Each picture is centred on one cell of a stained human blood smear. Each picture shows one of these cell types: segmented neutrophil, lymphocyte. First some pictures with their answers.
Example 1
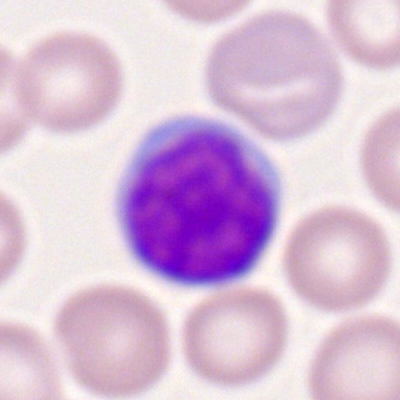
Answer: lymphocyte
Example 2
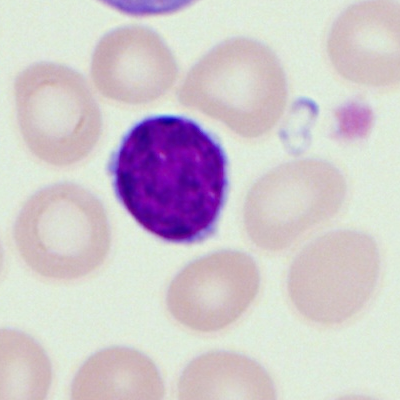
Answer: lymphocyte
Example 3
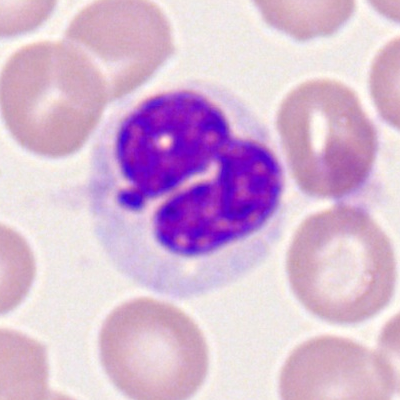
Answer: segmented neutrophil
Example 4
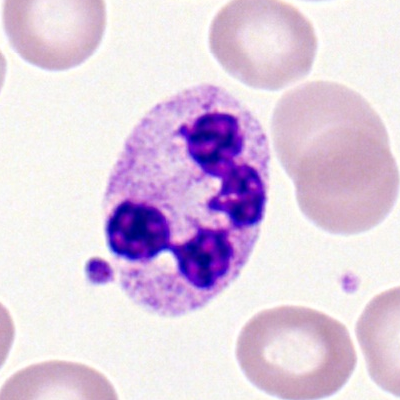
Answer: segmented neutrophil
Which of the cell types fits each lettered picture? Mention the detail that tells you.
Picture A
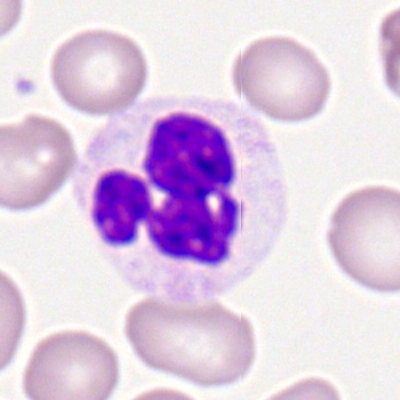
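Label: segmented neutrophil. The nucleus is split into three lobes.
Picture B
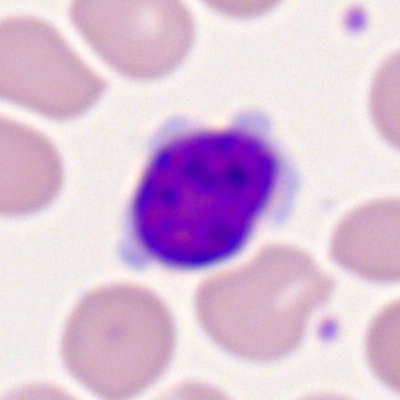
Label: lymphocyte. The nucleus fills almost the whole cell, leaving only a scant rim of cytoplasm.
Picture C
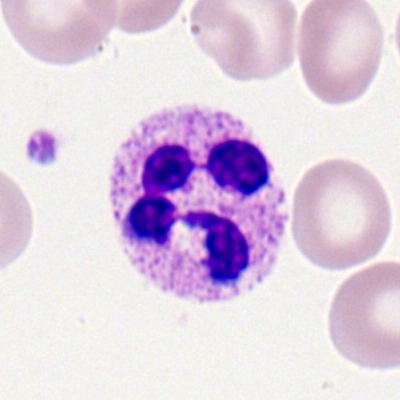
Label: segmented neutrophil. The nucleus is divided into four separate lobes.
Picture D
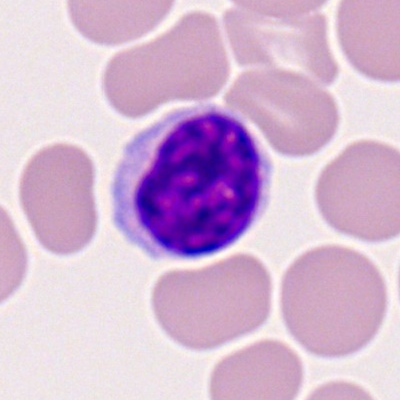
Label: lymphocyte. The nucleus fills most of the cell.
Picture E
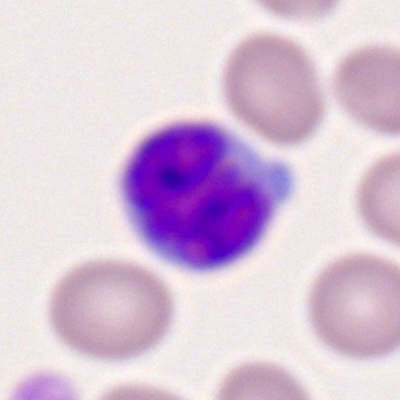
Label: lymphocyte. The nucleus fills most of the cell.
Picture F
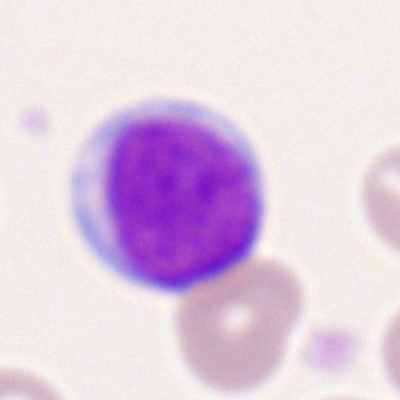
Label: lymphocyte. The cytoplasm forms a narrow crescent along the left side of the cell.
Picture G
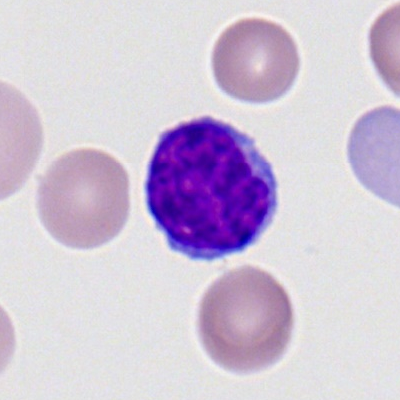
Label: lymphocyte. The cytoplasm is a scant rim that is widest on the right side.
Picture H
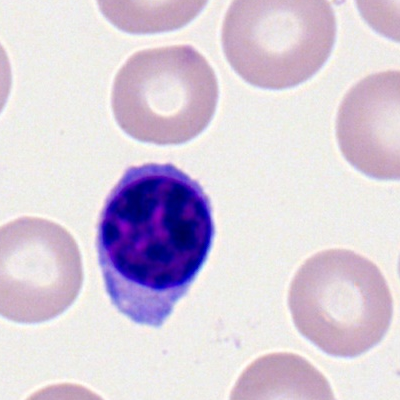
Label: lymphocyte. The nucleus fills most of the cell.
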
